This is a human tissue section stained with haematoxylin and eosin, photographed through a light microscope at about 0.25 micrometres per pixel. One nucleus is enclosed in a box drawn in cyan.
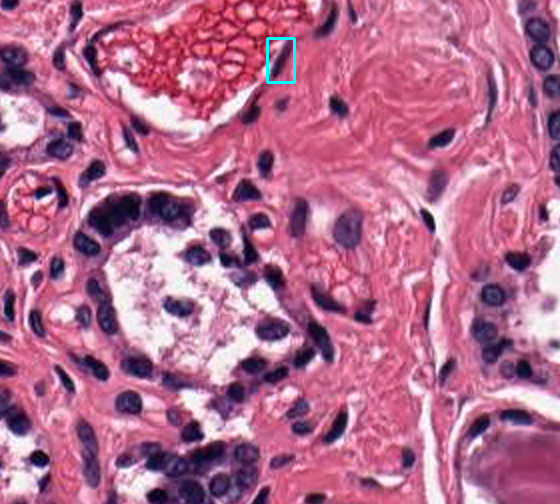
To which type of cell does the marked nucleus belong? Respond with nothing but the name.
endothelial cell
